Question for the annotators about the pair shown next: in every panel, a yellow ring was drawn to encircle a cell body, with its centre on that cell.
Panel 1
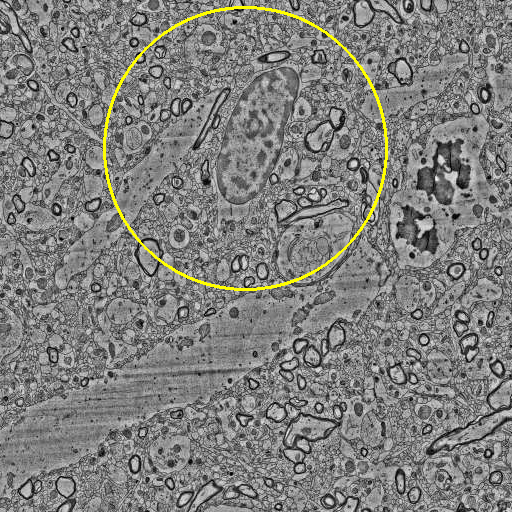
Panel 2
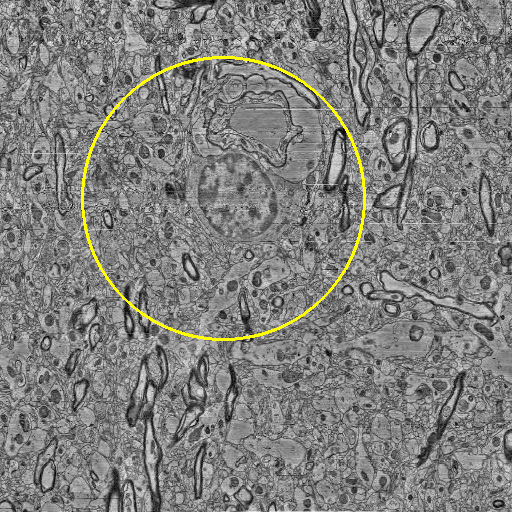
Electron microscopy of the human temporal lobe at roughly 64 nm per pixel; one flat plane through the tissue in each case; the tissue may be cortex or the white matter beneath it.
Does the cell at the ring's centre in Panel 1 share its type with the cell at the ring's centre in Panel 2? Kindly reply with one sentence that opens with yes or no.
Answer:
No, in Panels 1 and 2 the cells at the ring centres belong to separate types.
